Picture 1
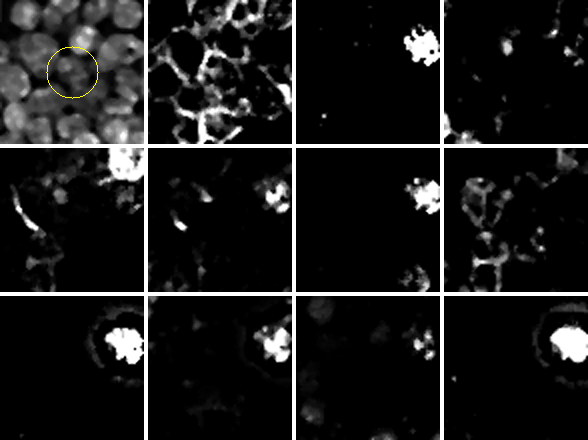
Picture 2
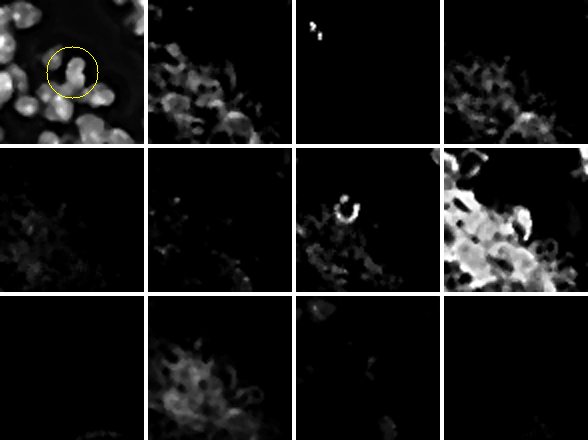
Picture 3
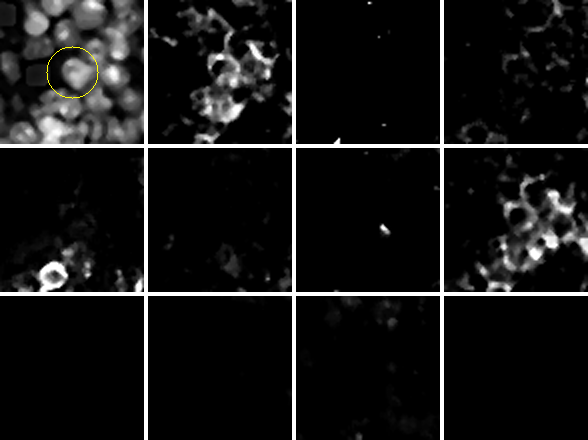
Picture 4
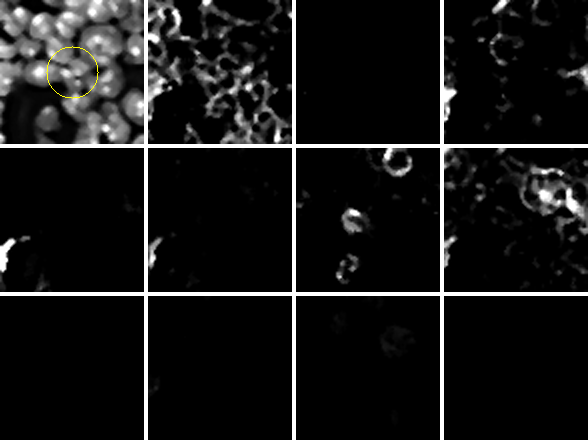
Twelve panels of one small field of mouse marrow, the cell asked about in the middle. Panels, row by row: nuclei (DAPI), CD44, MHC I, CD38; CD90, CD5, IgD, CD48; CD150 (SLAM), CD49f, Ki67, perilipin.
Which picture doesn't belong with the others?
Picture 2.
